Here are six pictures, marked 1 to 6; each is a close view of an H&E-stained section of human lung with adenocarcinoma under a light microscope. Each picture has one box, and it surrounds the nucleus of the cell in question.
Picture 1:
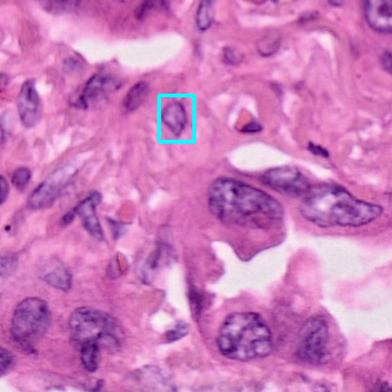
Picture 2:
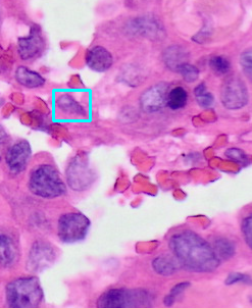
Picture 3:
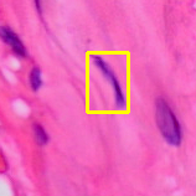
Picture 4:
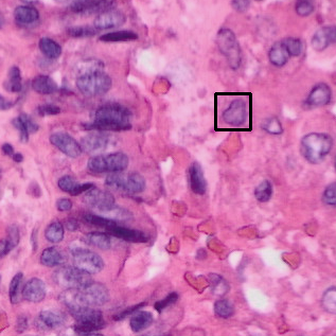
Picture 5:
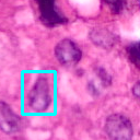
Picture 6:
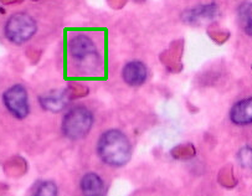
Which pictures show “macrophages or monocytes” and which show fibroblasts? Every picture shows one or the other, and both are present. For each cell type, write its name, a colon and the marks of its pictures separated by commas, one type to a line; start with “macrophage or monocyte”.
macrophage or monocyte: 2, 4, 5, 6
fibroblast: 1, 3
